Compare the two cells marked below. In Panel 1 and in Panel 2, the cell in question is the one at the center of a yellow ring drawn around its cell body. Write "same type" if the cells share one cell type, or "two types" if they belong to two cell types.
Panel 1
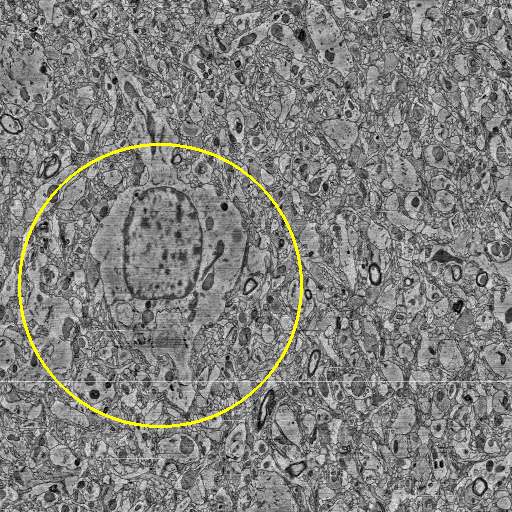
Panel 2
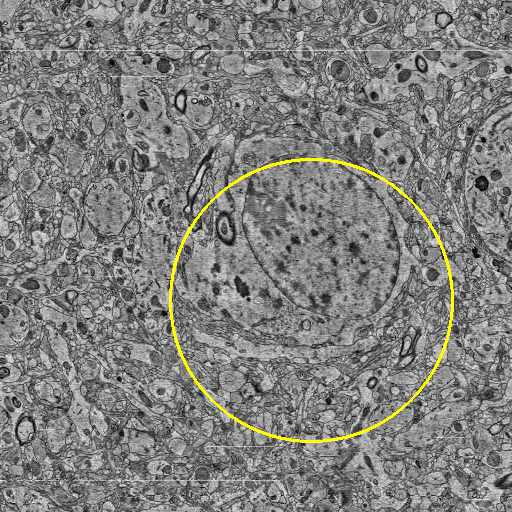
same type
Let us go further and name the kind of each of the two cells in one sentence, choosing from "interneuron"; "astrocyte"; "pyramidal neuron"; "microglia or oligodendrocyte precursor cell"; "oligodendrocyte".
The cell at the ring centre is an astrocyte in both pictures.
